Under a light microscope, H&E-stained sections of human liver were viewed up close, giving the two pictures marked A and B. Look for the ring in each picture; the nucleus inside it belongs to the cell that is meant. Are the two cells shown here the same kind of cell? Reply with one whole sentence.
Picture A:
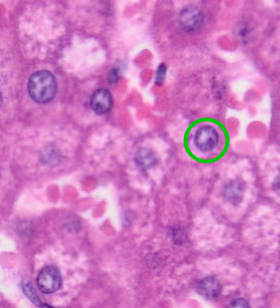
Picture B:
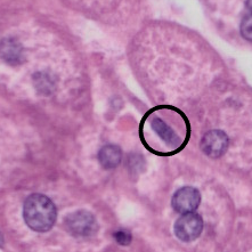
No; the cell in picture A is a hepatocyte, while the one in picture B is a Kupffer cell.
